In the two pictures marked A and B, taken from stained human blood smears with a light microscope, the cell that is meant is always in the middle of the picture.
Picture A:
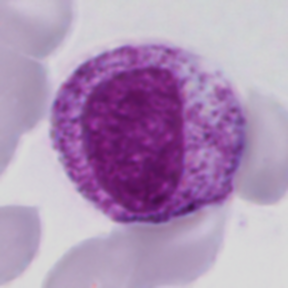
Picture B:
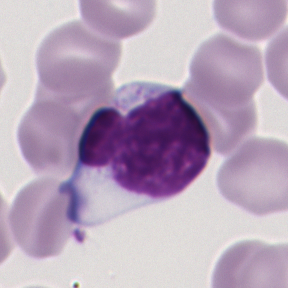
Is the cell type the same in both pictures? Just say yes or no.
no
